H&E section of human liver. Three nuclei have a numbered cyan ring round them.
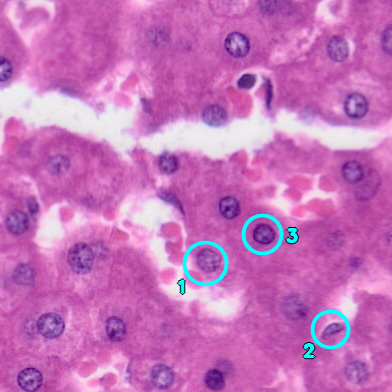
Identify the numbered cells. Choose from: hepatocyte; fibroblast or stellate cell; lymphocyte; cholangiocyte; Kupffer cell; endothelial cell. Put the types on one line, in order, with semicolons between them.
hepatocyte; endothelial cell; hepatocyte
